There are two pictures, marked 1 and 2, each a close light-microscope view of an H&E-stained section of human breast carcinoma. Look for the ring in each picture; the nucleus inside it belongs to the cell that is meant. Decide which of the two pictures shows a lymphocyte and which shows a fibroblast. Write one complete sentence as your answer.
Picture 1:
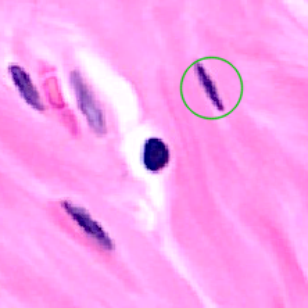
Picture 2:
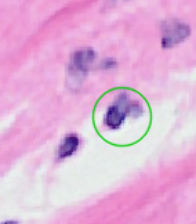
The cell in picture 1 is a fibroblast, and the one in picture 2 is a lymphocyte.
